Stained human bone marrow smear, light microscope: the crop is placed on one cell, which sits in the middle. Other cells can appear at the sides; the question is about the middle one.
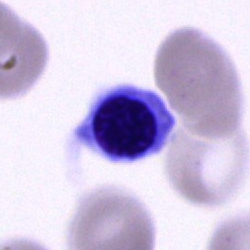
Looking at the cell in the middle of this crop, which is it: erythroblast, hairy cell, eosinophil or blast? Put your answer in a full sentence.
The cell in the middle of the field of view is an erythroblast.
